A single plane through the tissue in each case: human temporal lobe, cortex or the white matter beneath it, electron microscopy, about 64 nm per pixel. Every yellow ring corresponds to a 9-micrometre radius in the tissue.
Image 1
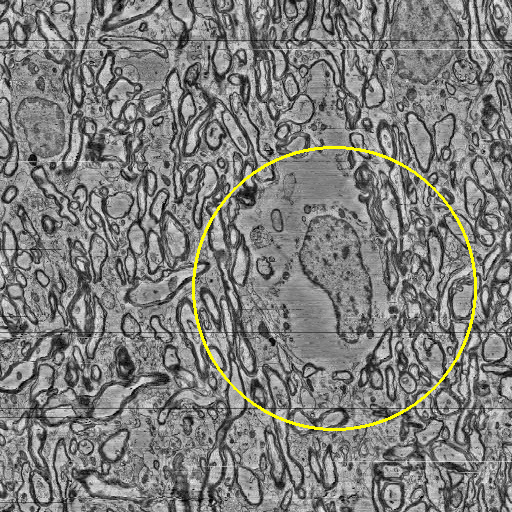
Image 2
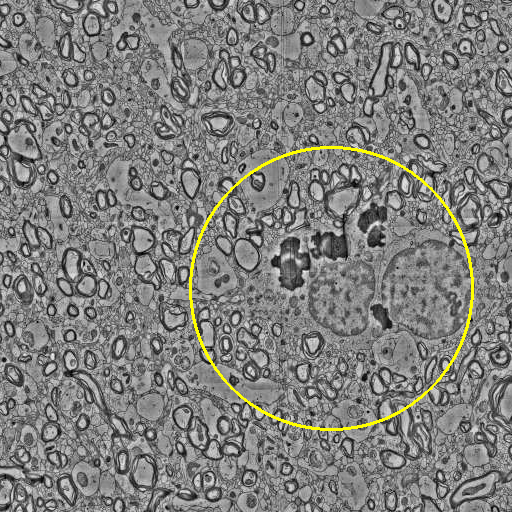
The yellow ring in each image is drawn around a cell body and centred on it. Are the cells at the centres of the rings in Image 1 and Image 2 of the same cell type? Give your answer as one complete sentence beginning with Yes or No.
No, the two cells are of two separate types.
